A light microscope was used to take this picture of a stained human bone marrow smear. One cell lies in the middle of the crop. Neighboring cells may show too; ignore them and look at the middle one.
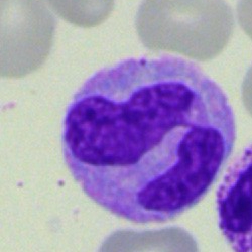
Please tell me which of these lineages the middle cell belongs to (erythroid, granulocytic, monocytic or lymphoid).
monocytic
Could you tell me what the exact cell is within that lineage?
monocyte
